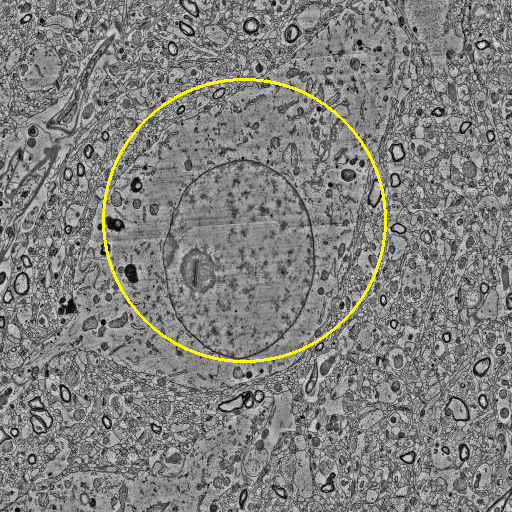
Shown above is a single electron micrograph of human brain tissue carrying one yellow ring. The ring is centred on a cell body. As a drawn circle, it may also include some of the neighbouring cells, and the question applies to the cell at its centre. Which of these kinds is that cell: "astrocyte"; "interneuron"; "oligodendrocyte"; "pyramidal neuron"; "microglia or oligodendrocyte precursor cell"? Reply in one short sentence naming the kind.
The cell marked by the ring is a pyramidal neuron.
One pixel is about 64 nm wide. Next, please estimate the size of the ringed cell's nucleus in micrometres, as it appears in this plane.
The nucleus is approximately 13 micrometers long by 10 micrometers wide in this plane.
